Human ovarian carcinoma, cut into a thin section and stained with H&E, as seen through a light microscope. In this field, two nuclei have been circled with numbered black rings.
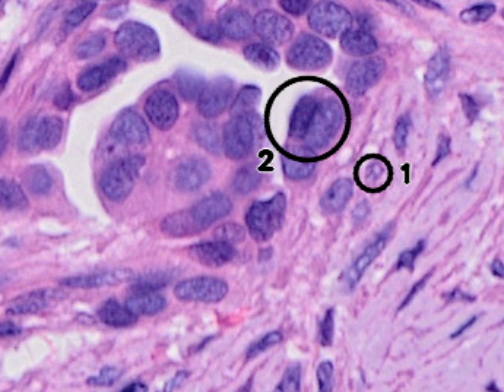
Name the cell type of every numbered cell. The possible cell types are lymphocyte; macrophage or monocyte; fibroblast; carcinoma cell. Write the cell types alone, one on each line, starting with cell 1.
fibroblast
carcinoma cell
